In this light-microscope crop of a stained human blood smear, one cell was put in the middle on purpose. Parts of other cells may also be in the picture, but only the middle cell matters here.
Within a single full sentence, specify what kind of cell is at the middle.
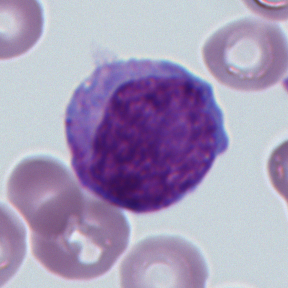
Centred in the crop is an atypical promyelocyte.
